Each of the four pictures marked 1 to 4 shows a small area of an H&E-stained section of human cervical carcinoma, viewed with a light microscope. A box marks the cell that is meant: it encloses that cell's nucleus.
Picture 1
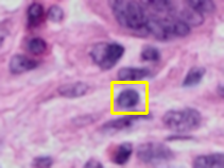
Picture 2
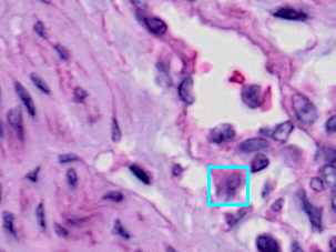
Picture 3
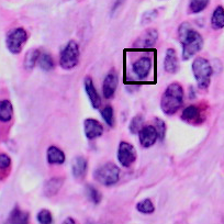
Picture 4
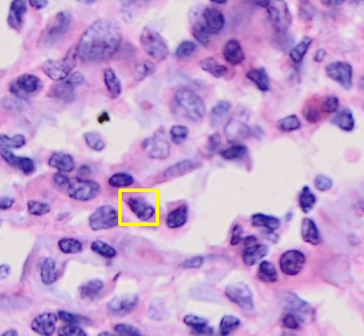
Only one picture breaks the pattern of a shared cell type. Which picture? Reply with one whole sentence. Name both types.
The different one is picture 2; it shows a “macrophage or monocyte”, whereas all the others show lymphocytes.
